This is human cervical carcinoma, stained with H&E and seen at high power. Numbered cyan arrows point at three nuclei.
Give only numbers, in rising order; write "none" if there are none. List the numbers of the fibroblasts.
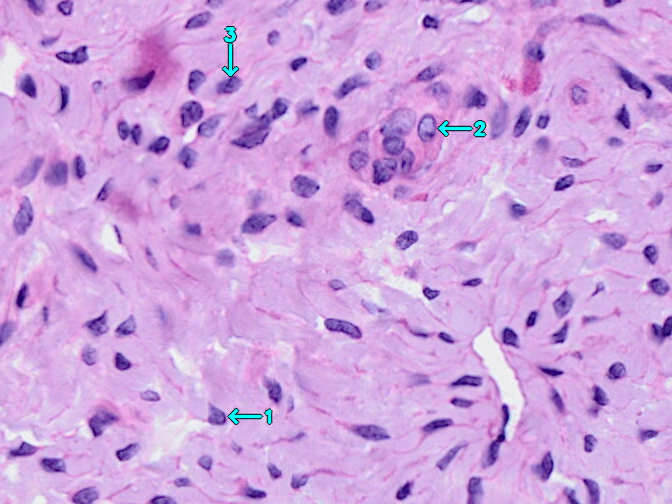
1, 3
